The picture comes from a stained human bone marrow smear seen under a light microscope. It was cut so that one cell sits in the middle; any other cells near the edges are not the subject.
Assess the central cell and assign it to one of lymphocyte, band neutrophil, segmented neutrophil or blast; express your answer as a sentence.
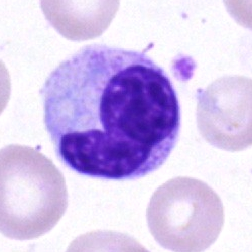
Positioned in the middle of the crop is a band neutrophil.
